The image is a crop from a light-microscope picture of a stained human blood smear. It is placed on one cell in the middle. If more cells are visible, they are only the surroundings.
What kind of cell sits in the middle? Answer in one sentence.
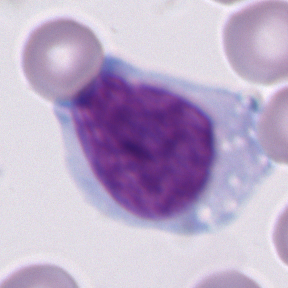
The central cell, amid any neighbouring cells, is a myeloblast.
